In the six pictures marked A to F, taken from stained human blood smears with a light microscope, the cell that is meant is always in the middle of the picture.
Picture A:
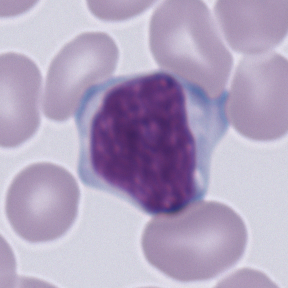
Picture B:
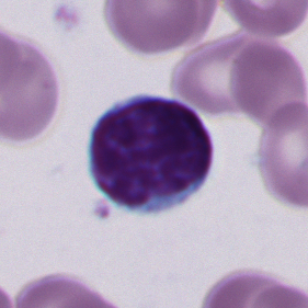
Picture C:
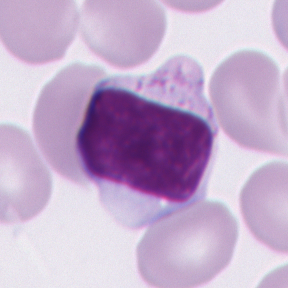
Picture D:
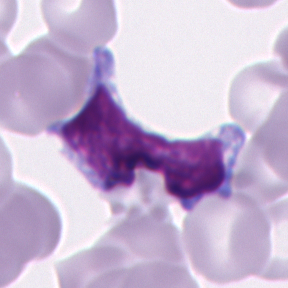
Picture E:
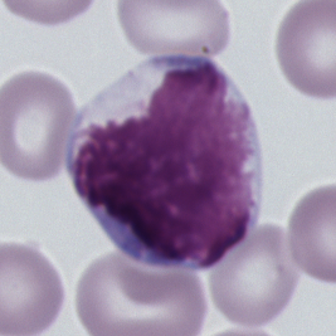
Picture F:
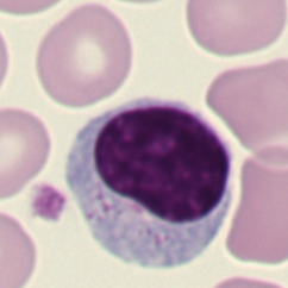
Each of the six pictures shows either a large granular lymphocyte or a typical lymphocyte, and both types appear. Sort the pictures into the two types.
A: typical lymphocyte
B: typical lymphocyte
C: large granular lymphocyte
D: typical lymphocyte
E: large granular lymphocyte
F: large granular lymphocyte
